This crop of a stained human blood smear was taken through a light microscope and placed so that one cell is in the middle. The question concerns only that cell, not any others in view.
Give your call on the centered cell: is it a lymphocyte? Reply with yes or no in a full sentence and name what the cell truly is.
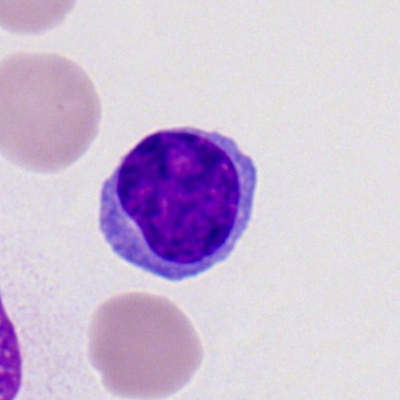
Yes, the cell in the central position is a lymphocyte.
